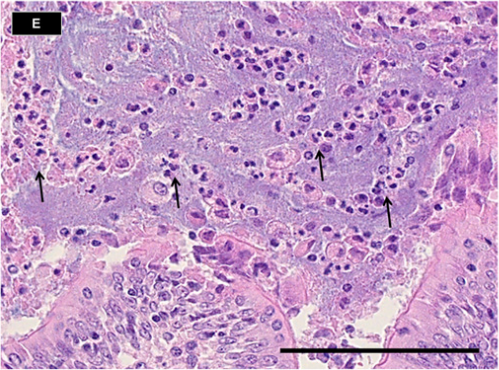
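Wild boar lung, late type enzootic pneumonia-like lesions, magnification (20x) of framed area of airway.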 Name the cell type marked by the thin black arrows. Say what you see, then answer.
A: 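Many small cells with dark, segmented or lobed nuclei. So: neutrophils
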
